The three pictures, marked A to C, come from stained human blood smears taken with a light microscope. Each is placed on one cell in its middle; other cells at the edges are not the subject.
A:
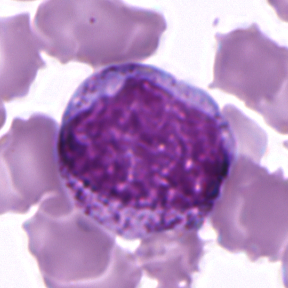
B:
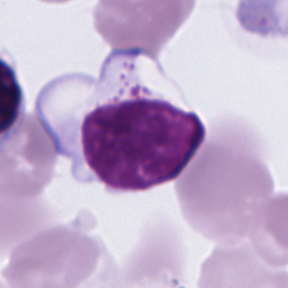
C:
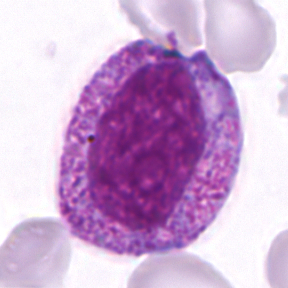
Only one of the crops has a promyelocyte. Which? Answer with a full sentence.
The cell identified as a promyelocyte is the one in crop C.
